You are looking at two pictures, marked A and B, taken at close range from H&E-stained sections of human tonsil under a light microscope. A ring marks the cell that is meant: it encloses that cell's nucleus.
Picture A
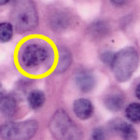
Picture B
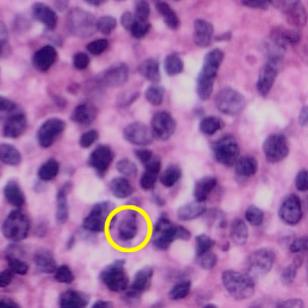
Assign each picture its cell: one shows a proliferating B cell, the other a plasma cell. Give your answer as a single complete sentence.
Picture B shows a proliferating B cell, while picture A shows a plasma cell.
